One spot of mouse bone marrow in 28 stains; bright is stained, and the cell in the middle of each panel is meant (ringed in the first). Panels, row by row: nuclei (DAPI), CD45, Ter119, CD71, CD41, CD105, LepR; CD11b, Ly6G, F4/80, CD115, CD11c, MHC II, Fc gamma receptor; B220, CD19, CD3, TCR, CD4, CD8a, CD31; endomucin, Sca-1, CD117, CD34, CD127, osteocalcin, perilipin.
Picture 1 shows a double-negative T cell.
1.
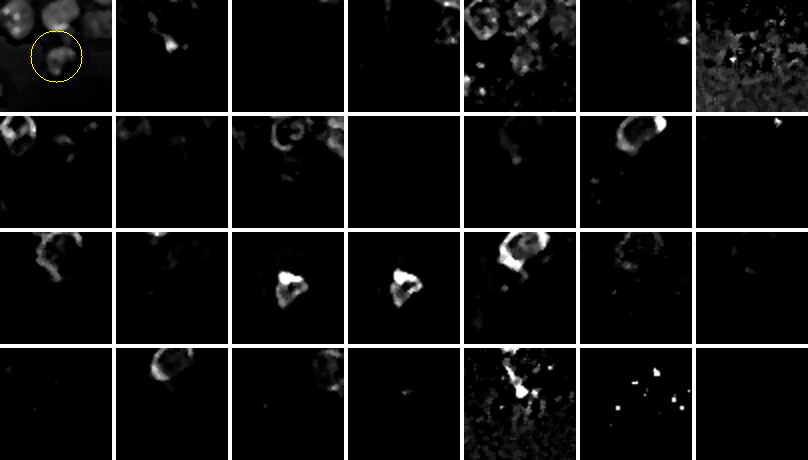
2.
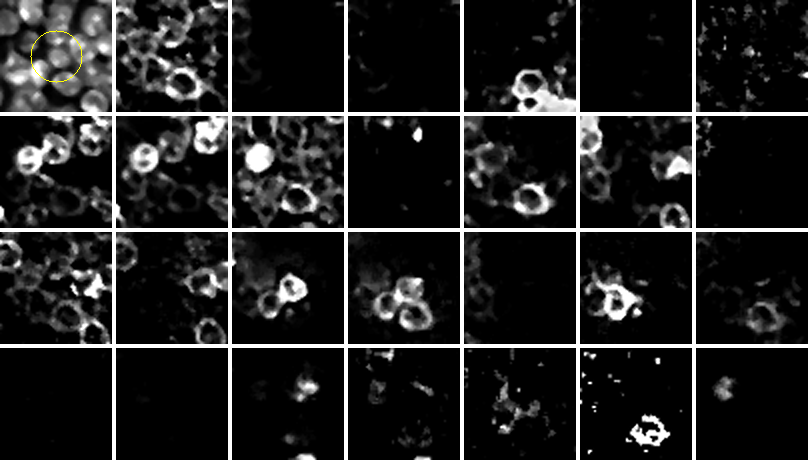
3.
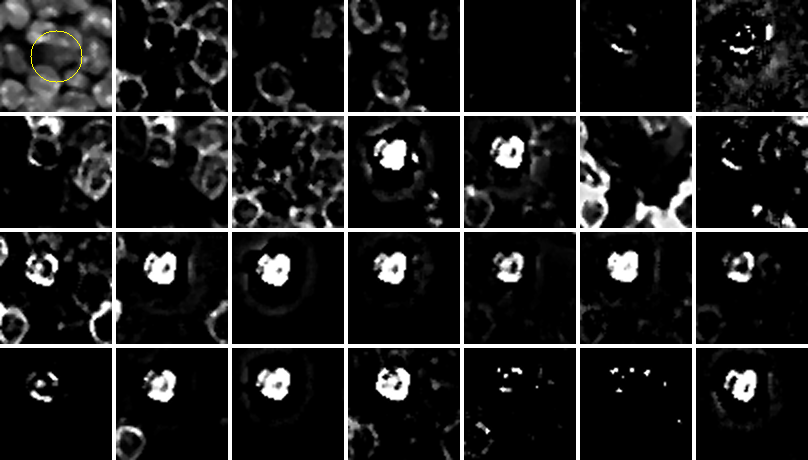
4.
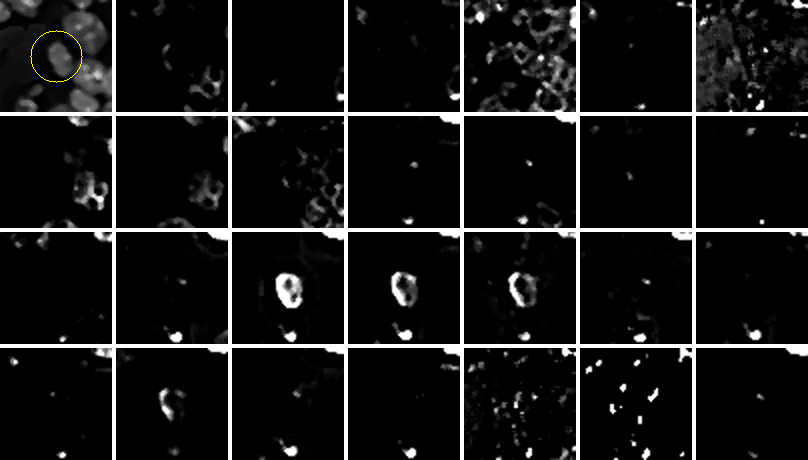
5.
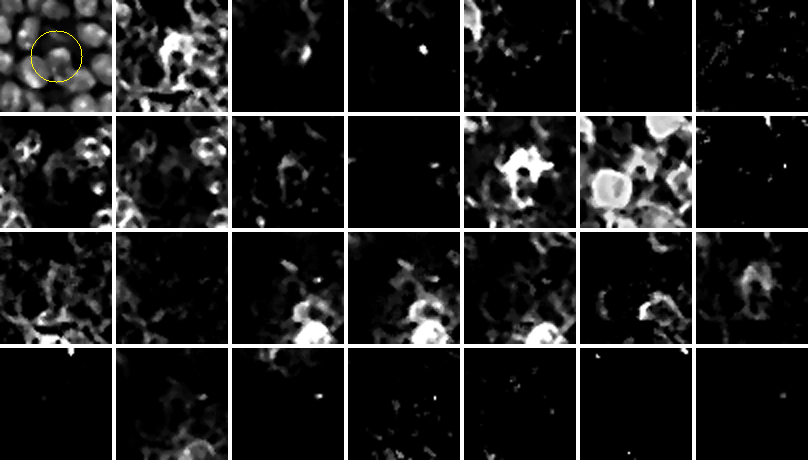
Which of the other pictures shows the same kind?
Picture 2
